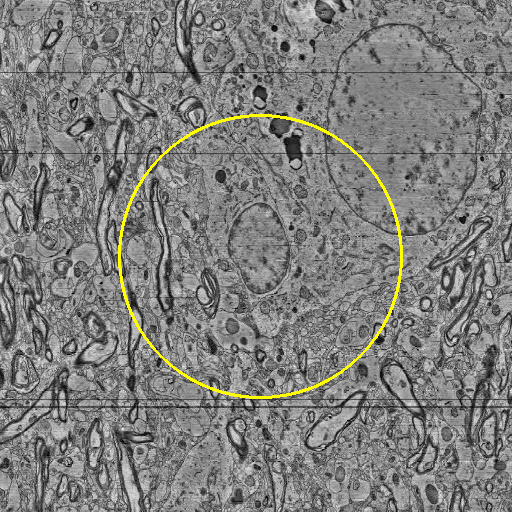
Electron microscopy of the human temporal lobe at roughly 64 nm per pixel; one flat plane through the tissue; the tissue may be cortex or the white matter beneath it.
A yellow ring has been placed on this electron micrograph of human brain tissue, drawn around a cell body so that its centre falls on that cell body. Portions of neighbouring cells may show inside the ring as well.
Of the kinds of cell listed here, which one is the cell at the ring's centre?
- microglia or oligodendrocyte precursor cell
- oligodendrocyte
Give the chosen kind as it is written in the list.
microglia or oligodendrocyte precursor cell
